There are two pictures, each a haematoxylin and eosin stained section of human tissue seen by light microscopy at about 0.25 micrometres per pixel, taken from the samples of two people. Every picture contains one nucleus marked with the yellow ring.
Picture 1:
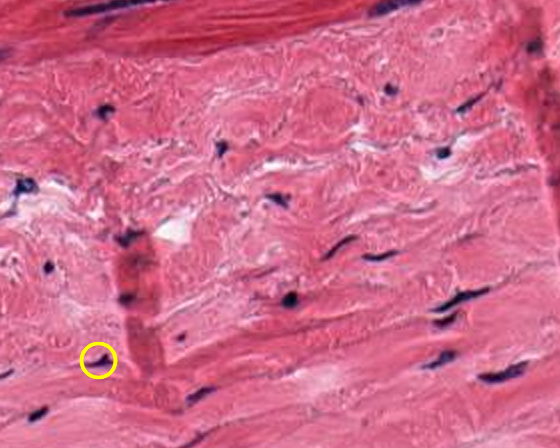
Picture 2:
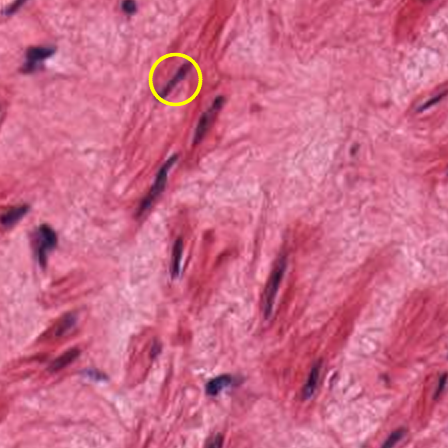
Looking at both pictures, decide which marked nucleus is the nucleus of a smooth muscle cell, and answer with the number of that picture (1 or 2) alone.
2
